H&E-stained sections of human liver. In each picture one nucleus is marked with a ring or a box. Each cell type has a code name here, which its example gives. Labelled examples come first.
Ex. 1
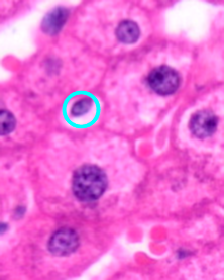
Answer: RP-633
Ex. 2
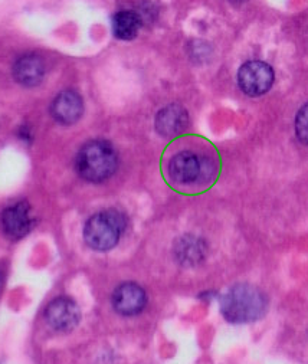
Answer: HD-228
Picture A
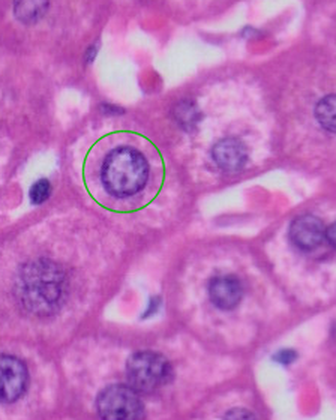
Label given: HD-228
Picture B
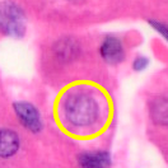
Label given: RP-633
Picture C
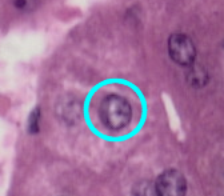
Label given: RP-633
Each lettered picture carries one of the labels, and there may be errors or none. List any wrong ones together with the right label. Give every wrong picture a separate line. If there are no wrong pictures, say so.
B should be HD-228, not RP-633
C should be HD-228, not RP-633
